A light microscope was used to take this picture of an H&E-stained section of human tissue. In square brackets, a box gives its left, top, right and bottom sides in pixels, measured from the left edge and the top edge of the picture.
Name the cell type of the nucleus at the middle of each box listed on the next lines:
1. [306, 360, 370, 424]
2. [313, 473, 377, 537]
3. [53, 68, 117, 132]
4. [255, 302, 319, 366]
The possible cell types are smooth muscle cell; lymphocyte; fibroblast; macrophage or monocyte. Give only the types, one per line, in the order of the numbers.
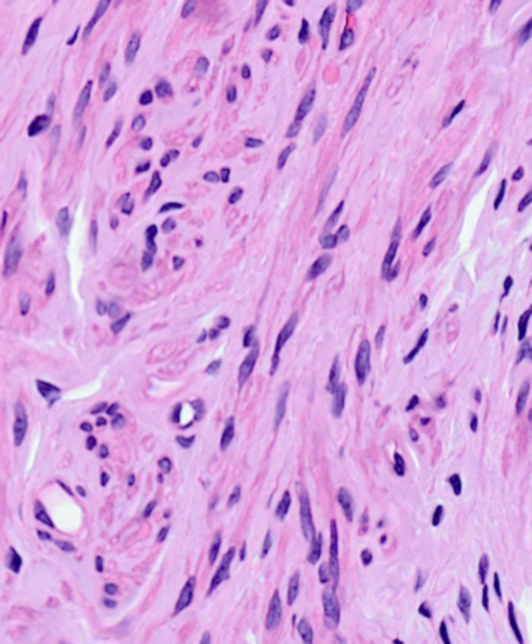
fibroblast
smooth muscle cell
smooth muscle cell
smooth muscle cell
